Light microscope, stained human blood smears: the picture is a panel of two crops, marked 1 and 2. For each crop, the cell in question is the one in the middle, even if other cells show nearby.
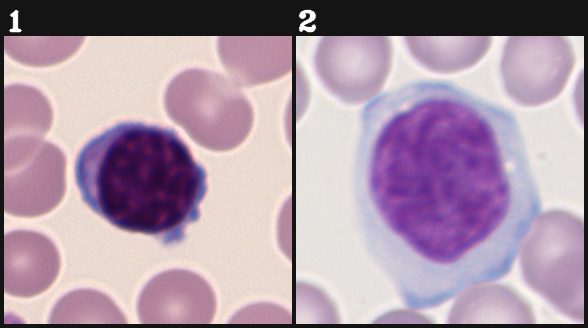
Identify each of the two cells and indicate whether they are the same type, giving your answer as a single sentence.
No, it is a typical lymphocyte that crop 1 shows, and a myeloblast that crop 2 shows.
